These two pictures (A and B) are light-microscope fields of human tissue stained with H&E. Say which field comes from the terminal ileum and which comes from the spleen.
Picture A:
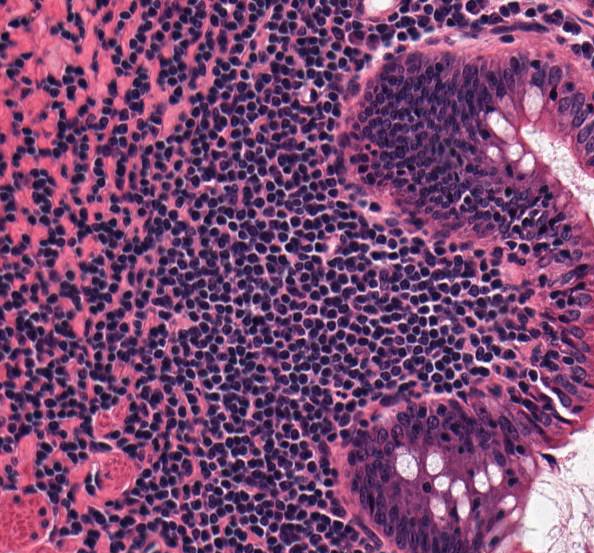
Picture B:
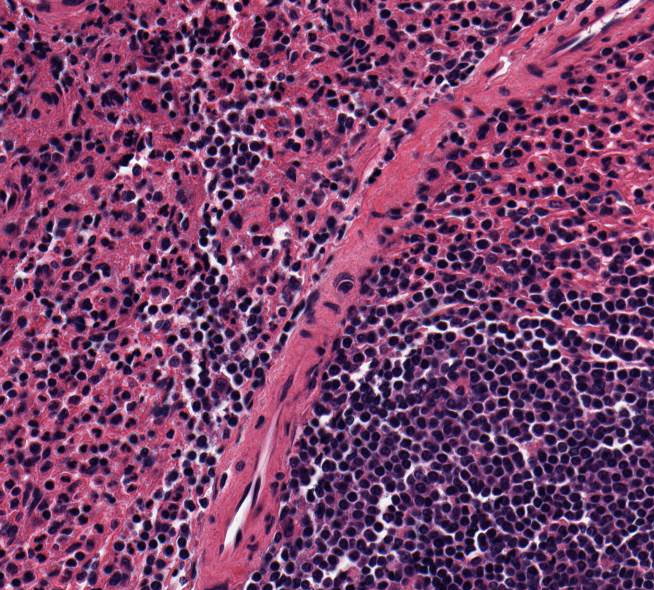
A: terminal ileum
B: spleen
